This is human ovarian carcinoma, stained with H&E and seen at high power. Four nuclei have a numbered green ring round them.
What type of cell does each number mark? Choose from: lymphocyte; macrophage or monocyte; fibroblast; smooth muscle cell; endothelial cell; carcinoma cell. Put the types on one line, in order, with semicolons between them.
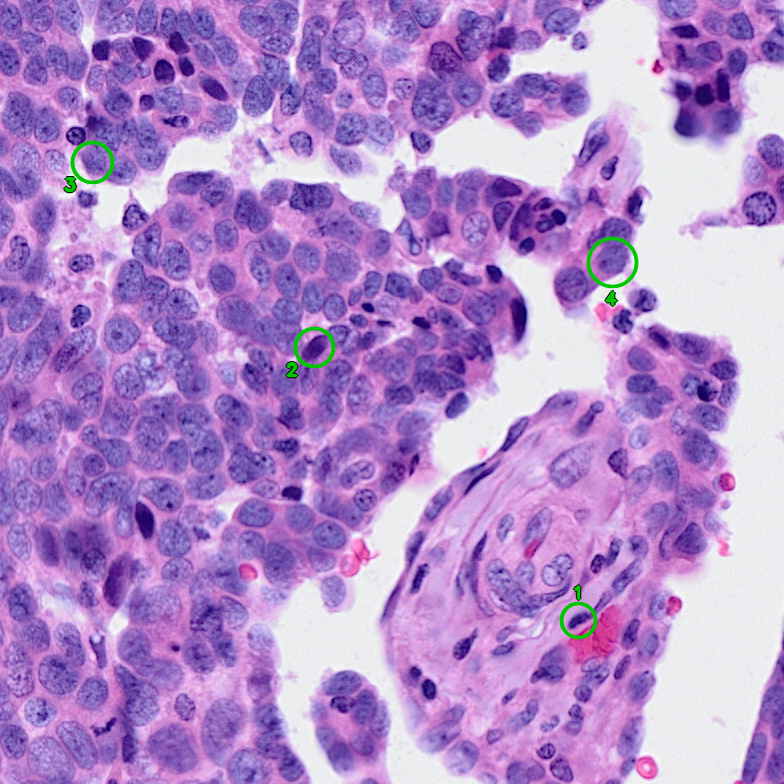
lymphocyte; carcinoma cell; carcinoma cell; carcinoma cell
